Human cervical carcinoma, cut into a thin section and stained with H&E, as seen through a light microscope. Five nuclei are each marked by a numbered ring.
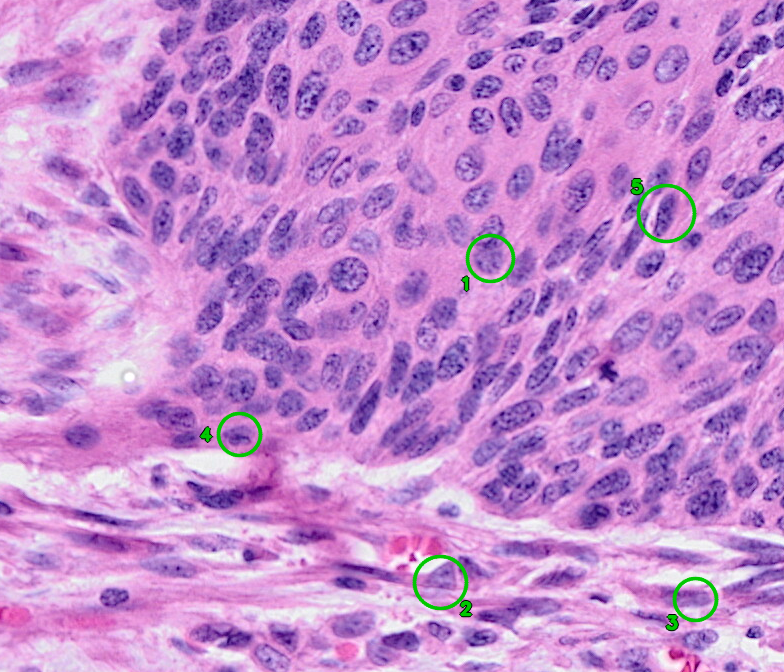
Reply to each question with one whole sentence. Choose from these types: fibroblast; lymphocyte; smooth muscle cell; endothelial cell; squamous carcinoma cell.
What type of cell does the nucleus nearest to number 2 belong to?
The nucleus nearest to number 2 is that of a fibroblast.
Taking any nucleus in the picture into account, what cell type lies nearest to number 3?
The nearest nucleus to number 3 belongs to a fibroblast.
